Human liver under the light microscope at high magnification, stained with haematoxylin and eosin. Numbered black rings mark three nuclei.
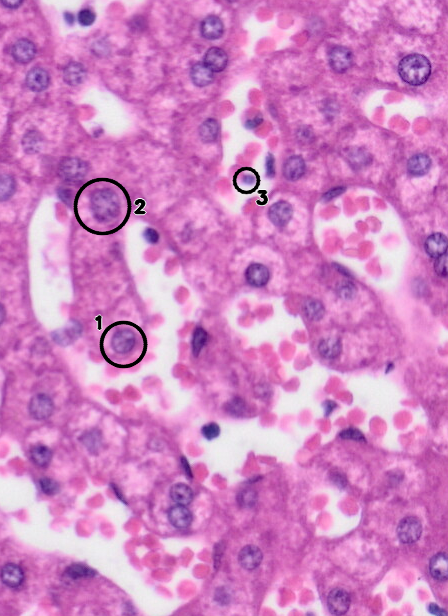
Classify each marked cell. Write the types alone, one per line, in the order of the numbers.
hepatocyte
hepatocyte
lymphocyte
